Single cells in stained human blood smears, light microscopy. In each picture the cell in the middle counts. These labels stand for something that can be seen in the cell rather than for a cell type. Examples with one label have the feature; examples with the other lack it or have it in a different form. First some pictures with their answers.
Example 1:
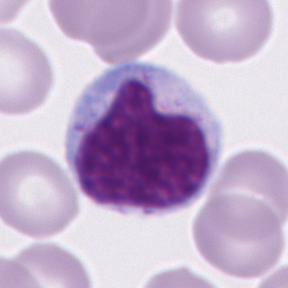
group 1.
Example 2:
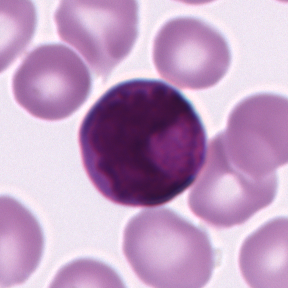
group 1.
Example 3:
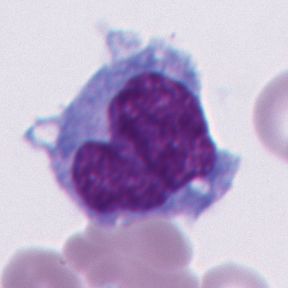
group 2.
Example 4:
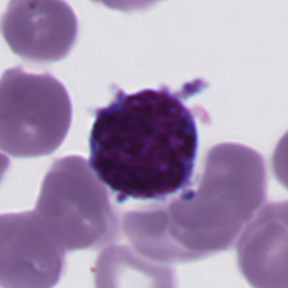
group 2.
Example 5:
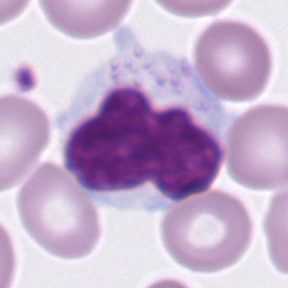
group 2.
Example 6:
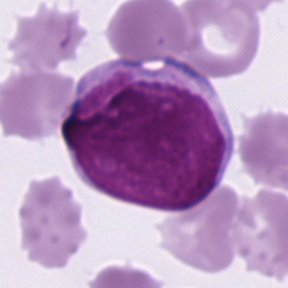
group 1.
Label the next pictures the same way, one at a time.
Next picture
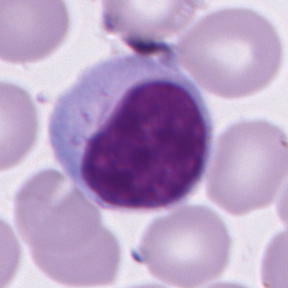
group 1.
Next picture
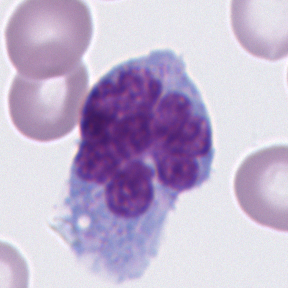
group 2.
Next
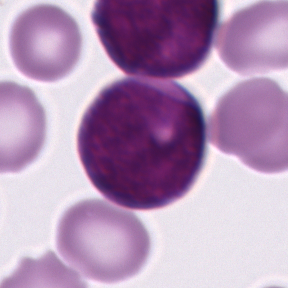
group 1.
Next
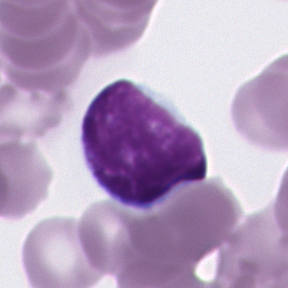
group 1.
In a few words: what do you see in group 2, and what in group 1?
group 2, ragged outline or projections; group 1, smooth outline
